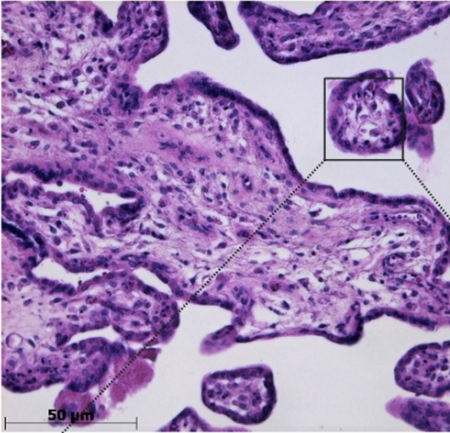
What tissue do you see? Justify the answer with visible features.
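Free-floating tissue profiles are separated by wide empty spaces. The profiles have a loose core with small vessels and a continuous surface cell layer.
Placenta.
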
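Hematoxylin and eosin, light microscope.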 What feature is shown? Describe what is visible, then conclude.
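Many separate rounded and branching tissue profiles lie apart in clear empty space. Each profile is lined by a thin rim of dark purple nuclei at its surface. On this evidence: Chorionic villi.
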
